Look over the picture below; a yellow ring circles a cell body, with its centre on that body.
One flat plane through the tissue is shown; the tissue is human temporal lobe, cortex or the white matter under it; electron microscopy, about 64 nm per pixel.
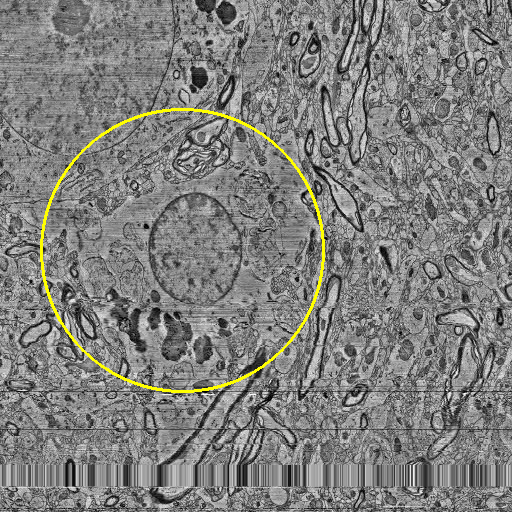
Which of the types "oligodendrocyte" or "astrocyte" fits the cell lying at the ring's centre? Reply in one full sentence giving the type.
The picture shows an astrocyte at the centre of the yellow ring.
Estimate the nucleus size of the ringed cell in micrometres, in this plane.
In this plane the nucleus spans approximately 7 by 6 micrometers.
